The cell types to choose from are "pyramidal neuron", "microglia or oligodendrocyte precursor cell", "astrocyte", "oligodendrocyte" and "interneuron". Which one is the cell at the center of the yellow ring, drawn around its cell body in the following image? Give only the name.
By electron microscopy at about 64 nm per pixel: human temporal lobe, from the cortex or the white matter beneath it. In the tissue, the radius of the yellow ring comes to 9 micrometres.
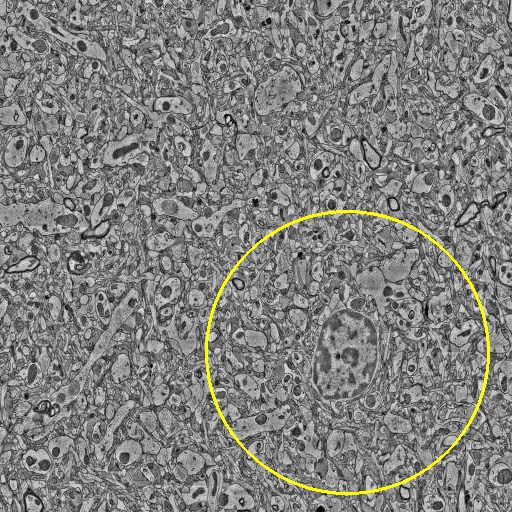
microglia or oligodendrocyte precursor cell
